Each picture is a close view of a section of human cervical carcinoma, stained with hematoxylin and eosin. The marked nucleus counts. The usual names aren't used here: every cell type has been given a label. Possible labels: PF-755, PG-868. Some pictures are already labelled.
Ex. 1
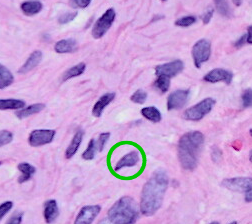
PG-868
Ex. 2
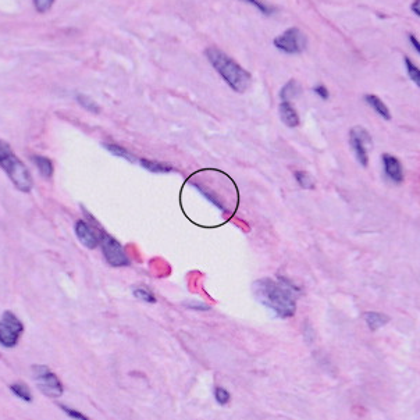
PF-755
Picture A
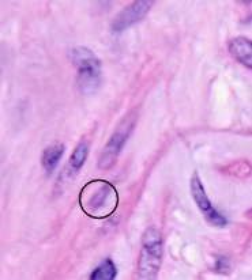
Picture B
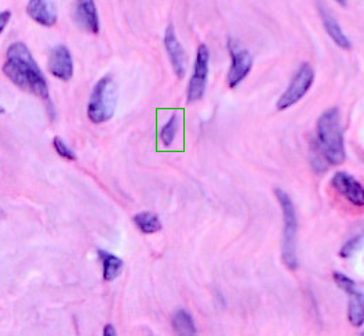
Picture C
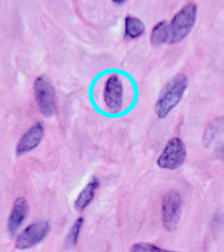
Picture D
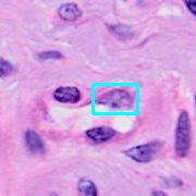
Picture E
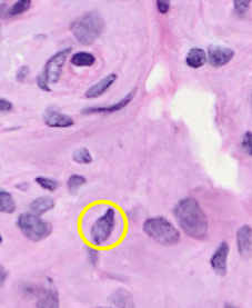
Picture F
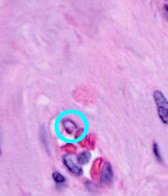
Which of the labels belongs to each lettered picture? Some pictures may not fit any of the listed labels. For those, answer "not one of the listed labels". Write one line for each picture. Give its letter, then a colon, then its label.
A: not one of the listed labels
B: PG-868
C: PG-868
D: PF-755
E: PG-868
F: PF-755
